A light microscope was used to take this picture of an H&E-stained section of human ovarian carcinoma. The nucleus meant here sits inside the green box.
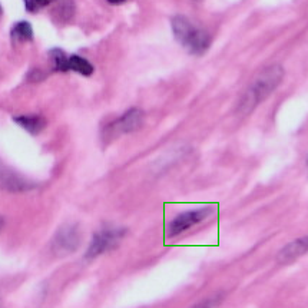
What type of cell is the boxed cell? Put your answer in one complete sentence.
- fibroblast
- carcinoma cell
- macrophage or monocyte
In this section, the boxed cell is a fibroblast.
